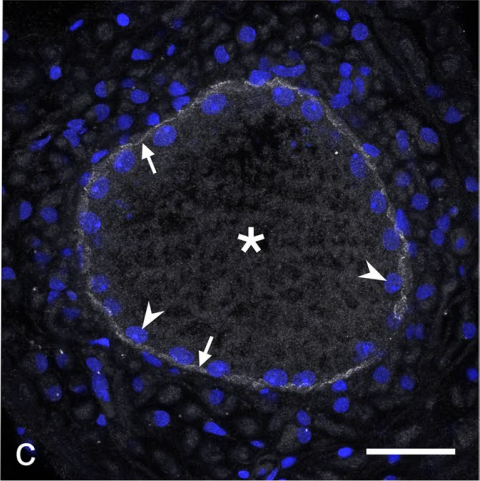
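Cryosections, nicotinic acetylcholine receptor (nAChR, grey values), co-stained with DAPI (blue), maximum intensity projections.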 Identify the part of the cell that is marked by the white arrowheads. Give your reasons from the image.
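Nuclei. The arrowheads point to blue oval bodies. These blue bodies lie just inside the bright boundary line of the central area.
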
